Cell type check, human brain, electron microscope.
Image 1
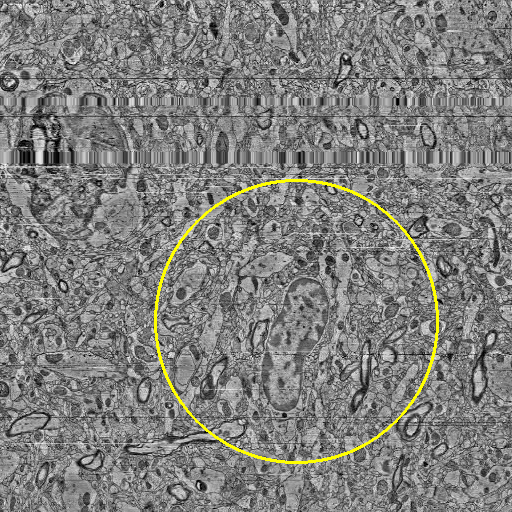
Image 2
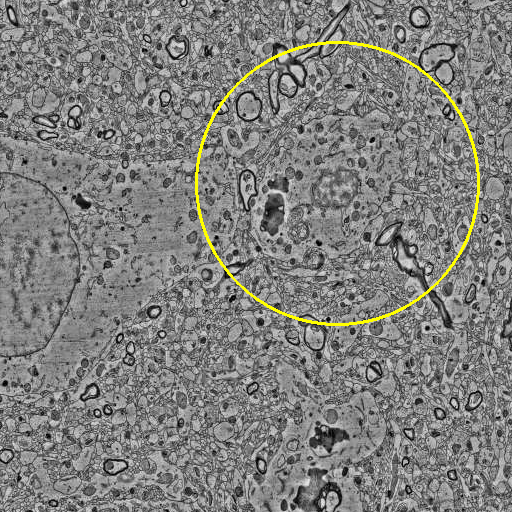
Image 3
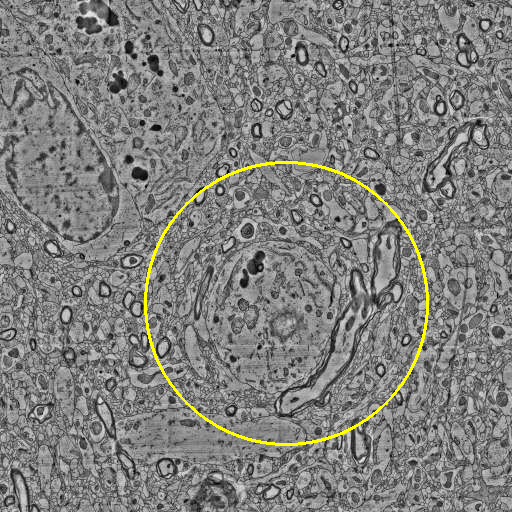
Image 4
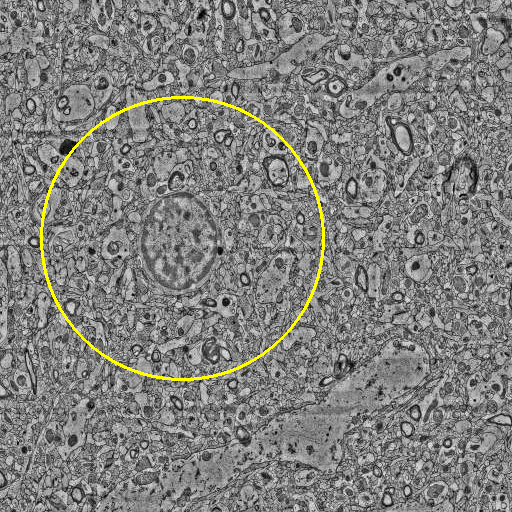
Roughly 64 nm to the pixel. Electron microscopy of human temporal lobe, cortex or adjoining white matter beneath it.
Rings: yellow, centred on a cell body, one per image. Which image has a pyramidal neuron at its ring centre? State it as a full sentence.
The ring in Image 3 is centred on it.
